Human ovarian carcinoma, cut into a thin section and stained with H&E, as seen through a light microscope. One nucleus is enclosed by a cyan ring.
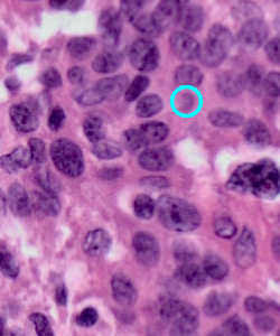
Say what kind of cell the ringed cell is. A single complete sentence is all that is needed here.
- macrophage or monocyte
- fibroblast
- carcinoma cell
Cell type answer for this item: the ringed cell is a carcinoma cell.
